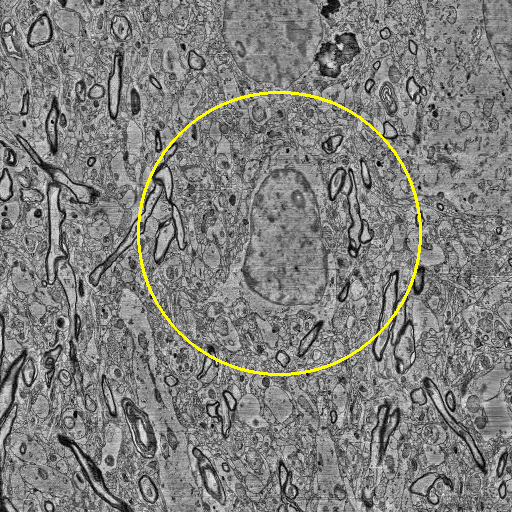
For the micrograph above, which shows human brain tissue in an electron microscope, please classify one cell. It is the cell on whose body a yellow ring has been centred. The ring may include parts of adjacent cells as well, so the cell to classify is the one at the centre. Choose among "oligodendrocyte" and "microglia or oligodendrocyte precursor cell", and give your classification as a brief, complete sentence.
I classify this cell as a microglial cell or oligodendrocyte precursor cell.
